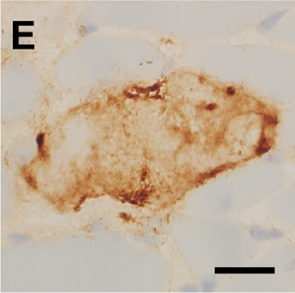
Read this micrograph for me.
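A single skeletal muscle fiber in cross-section carries brown granular deposits, densest in clumps along its outer surface, with fainter brown throughout its cytoplasm. The surrounding fibers are pale and unstained.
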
